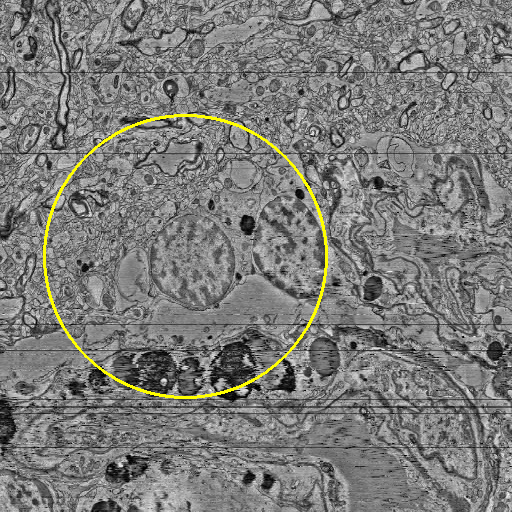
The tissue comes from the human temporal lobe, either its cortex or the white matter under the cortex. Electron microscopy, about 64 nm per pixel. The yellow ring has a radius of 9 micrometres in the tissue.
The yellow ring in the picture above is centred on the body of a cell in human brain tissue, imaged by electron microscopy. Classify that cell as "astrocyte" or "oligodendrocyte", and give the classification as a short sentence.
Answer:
The cell in the middle of the ring is an oligodendrocyte.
